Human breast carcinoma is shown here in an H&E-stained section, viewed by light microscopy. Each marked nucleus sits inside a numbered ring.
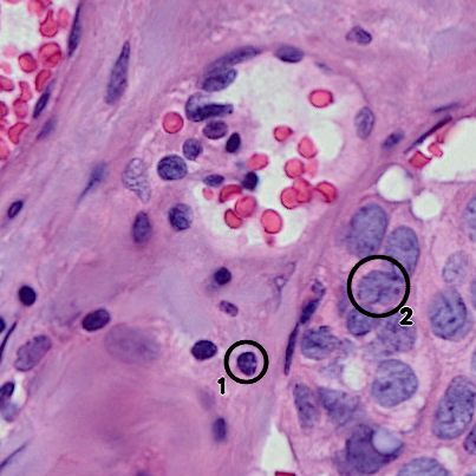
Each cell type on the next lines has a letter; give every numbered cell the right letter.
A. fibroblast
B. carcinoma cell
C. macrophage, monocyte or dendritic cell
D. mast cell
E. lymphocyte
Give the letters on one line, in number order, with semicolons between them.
E; B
